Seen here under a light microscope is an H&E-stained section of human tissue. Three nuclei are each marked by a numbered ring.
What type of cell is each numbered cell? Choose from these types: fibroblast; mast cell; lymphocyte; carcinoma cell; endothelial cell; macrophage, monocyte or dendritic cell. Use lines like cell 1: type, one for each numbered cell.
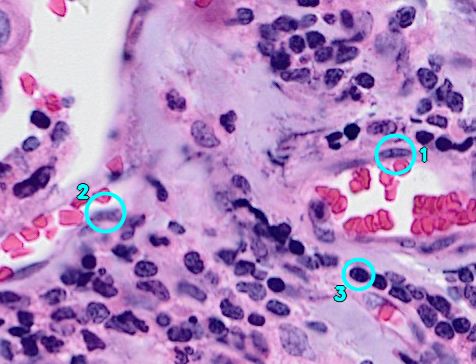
cell 1: endothelial cell
cell 2: endothelial cell
cell 3: lymphocyte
